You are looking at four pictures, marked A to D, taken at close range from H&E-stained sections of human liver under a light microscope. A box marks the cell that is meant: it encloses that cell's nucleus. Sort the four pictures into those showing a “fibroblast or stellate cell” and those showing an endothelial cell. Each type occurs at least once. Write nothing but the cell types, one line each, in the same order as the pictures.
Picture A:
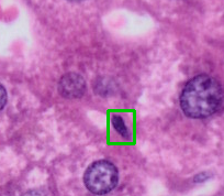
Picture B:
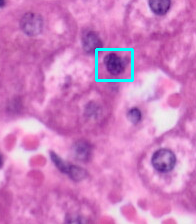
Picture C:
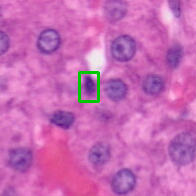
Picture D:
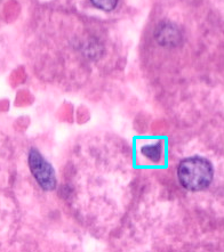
fibroblast or stellate cell
fibroblast or stellate cell
fibroblast or stellate cell
endothelial cell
